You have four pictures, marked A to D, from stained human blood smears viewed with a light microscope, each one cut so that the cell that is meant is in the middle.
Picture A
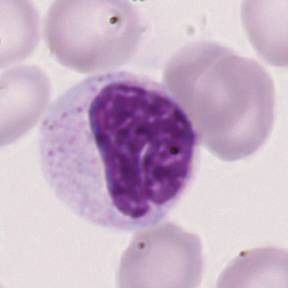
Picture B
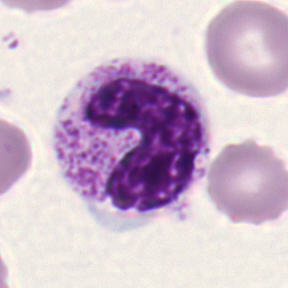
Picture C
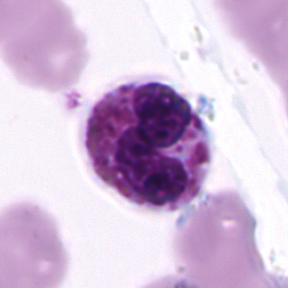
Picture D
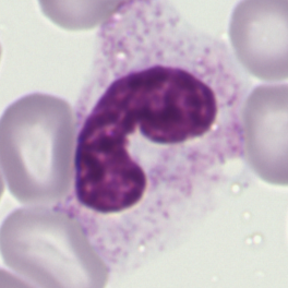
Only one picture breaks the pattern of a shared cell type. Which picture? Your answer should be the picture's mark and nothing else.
C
